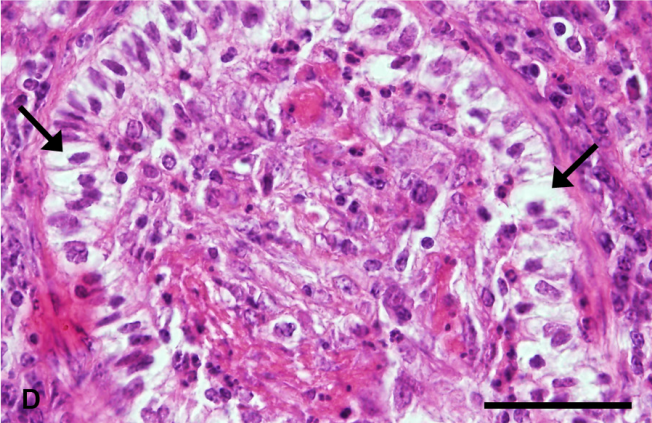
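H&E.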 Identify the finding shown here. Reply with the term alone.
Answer: Obliterative bronchiolitis.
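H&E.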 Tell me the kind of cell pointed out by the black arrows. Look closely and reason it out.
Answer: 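Vacuolated epithelial cells. The arrowed cells form a columnar lining layer. Their cytoplasm is clear and empty-looking around the nuclei.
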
